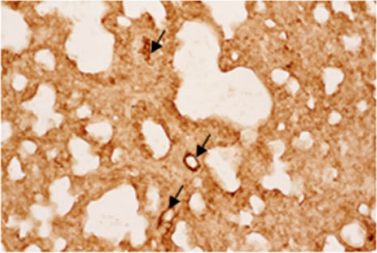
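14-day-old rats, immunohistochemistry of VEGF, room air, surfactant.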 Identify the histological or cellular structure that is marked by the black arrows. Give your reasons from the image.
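The arrows point at small round profiles within the septa. These profiles have a thin darker brown rim around a small lumen.
Conclusion: endothelium of the blood vessel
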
